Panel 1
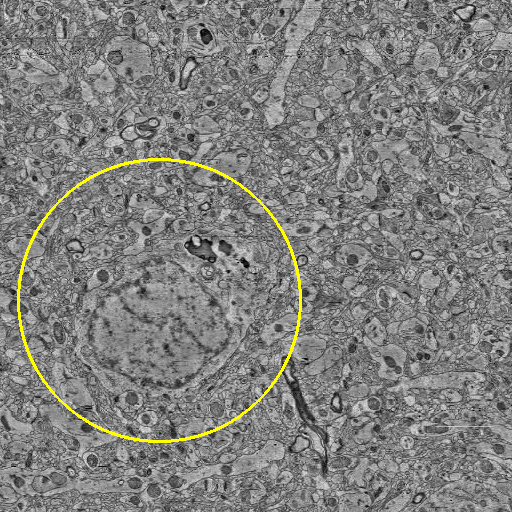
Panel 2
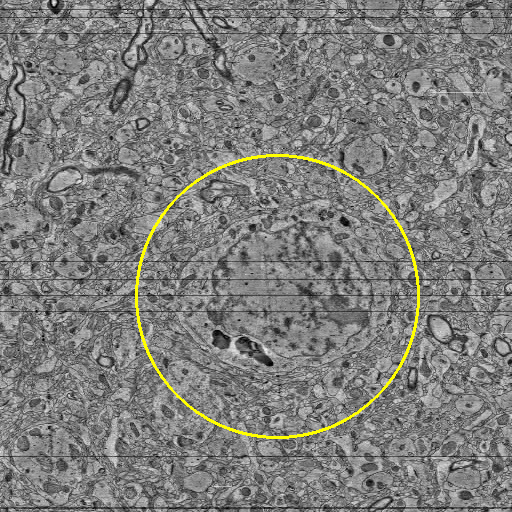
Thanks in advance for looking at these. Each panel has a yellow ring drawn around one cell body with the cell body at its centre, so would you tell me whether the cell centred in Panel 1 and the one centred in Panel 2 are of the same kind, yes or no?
yes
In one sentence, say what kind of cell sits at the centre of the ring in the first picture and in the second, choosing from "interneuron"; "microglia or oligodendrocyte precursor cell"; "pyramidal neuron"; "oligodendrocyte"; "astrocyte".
Both the first and the second picture show an interneuron in the ring.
